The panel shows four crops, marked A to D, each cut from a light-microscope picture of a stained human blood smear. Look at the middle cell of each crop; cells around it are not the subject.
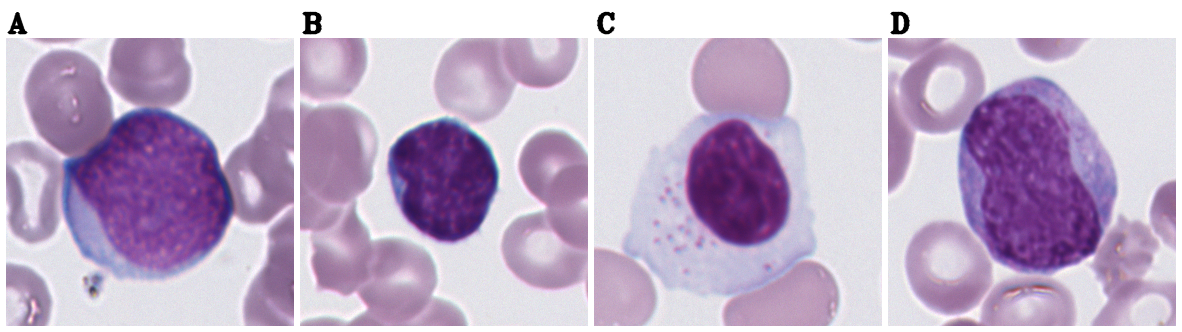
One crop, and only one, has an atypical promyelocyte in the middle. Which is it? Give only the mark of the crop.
D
